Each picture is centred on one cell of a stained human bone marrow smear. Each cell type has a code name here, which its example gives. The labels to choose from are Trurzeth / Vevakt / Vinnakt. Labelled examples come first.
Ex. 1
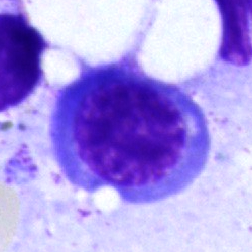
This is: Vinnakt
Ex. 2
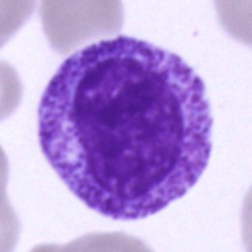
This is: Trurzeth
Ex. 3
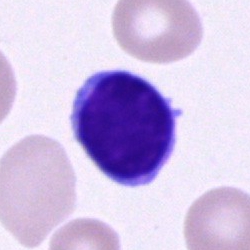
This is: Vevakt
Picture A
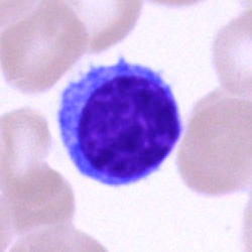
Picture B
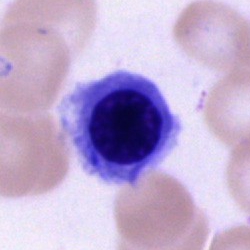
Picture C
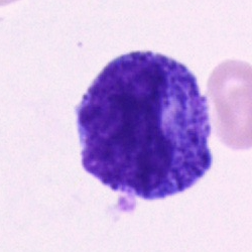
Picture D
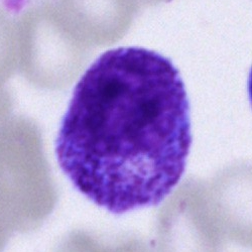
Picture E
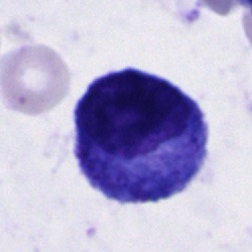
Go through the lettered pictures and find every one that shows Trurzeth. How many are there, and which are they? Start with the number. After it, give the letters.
3: C, D, E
